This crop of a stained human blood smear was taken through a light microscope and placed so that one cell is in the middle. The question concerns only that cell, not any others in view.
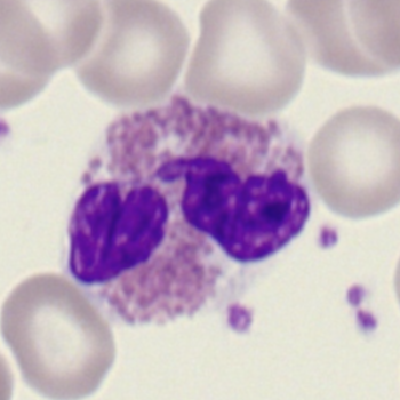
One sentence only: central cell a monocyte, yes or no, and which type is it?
No, the cell sitting in the centre of the crop is an eosinophil, not a monocyte.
